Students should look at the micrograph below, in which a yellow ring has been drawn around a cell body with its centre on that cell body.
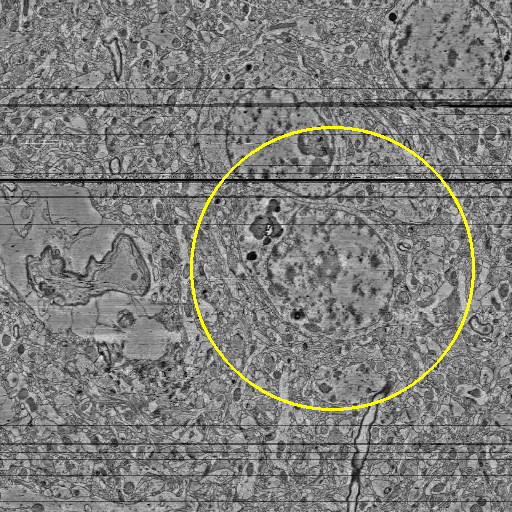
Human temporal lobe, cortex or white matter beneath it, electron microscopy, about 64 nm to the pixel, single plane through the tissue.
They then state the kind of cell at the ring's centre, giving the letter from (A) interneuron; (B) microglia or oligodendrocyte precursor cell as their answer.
A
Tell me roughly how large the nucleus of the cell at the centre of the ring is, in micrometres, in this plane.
Roughly 9 by 8 micrometres in this plane, for the nucleus of the ringed cell.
